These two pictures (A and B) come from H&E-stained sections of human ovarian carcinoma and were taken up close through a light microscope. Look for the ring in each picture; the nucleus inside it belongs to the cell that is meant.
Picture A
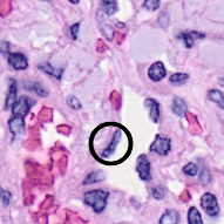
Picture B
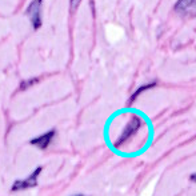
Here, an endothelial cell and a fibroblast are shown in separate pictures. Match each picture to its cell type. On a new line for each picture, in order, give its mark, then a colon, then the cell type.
A: endothelial cell
B: fibroblast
